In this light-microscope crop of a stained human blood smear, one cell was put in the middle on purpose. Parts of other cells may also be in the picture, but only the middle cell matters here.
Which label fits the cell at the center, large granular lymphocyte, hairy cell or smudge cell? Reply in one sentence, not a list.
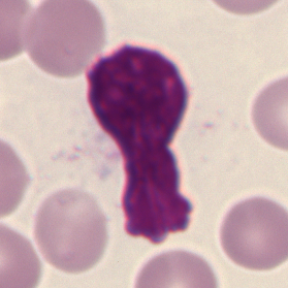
Standing at the centre of this crop is a smudge cell.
